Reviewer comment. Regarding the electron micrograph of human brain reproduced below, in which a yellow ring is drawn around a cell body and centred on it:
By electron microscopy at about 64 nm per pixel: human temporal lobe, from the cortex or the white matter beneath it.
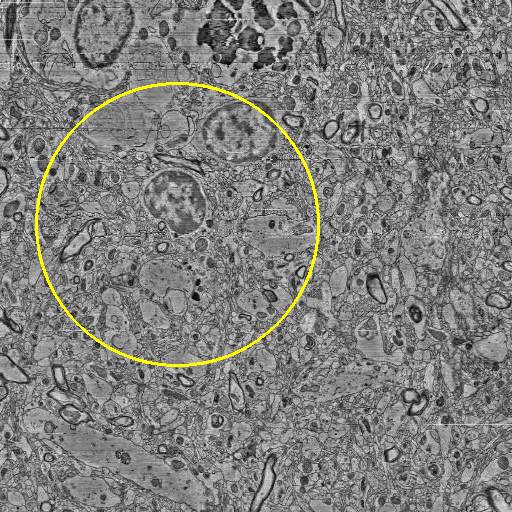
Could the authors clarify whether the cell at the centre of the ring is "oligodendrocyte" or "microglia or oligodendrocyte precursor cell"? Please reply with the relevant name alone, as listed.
microglia or oligodendrocyte precursor cell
